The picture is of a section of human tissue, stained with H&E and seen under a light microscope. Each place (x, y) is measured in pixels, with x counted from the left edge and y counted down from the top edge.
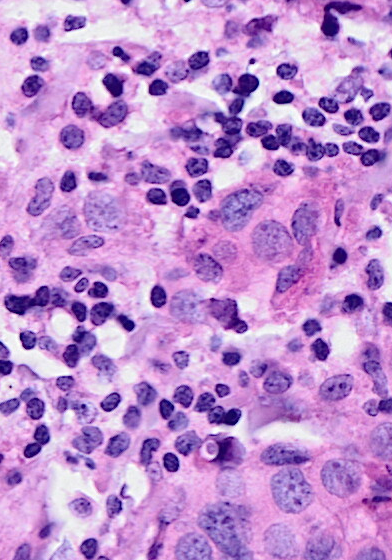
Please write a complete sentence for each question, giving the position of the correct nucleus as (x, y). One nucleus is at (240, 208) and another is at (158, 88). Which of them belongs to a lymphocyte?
Identified as belonging to a lymphocyte is the nucleus at (158, 88).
